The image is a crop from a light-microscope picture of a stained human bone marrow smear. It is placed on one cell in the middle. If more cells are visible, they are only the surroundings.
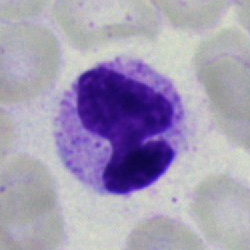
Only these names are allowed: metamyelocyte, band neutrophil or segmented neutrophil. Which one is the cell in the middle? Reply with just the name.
band neutrophil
